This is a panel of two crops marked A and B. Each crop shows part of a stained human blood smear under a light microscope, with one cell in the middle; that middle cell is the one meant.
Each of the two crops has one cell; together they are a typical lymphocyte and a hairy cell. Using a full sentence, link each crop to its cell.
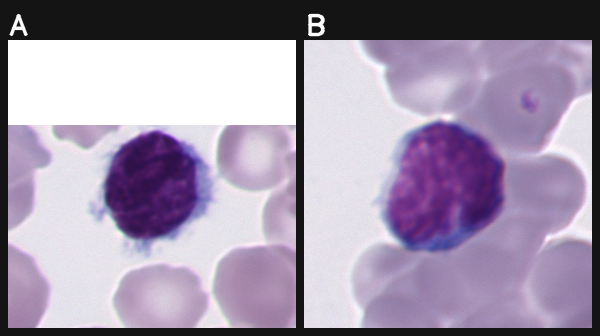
In crop A there is a hairy cell, and in crop B there is a typical lymphocyte.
